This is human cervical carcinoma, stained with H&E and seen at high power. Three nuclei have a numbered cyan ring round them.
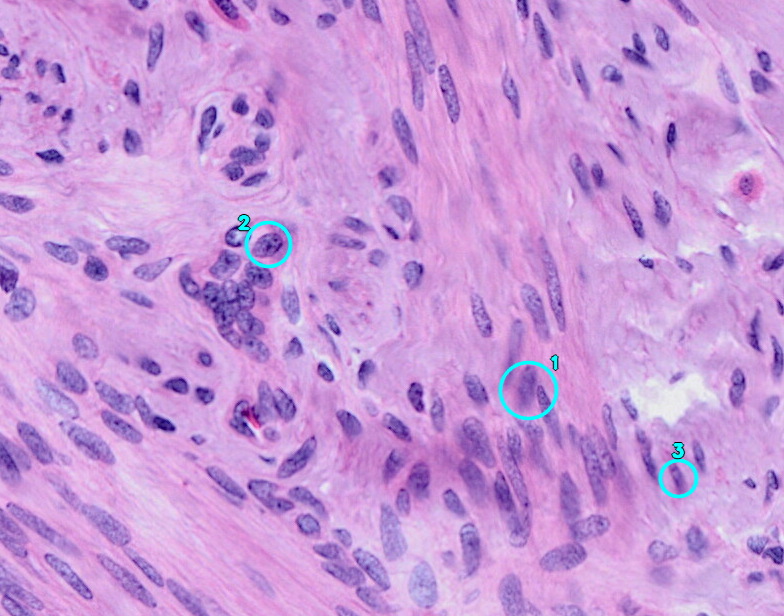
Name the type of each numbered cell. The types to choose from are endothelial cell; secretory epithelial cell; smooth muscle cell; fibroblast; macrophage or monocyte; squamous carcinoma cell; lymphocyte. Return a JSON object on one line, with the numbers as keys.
{"1": "fibroblast", "2": "endothelial cell", "3": "smooth muscle cell"}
